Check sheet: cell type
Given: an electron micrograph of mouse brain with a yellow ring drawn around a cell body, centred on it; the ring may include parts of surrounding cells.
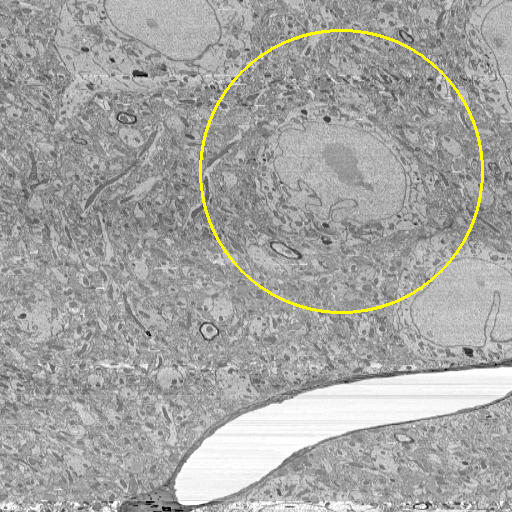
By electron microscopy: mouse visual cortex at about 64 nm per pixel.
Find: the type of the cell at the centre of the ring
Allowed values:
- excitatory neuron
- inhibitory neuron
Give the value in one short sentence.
Here the ringed cell is an inhibitory neuron.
